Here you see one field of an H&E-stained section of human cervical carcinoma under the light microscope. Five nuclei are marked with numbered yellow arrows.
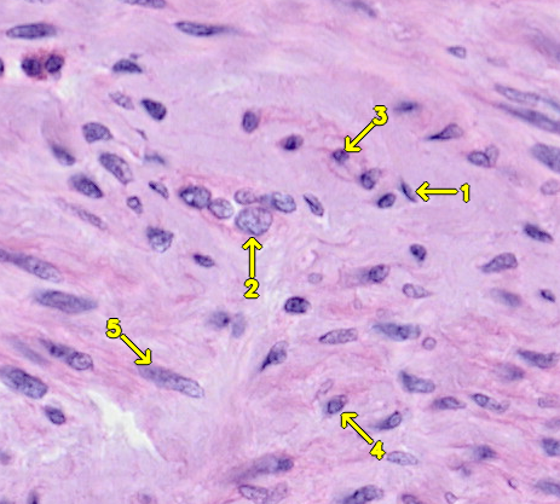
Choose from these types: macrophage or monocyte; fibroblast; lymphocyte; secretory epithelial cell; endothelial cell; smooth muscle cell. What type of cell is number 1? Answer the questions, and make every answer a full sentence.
Regarding cell 1, this one is a fibroblast.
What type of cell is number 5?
The one labeled 5 is a smooth muscle cell, to put it simply.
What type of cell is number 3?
Looking at the numbered marks, cell 3 is a smooth muscle cell.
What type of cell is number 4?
The cell bearing label 4 corresponds to a smooth muscle cell.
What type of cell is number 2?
The cell marked with number 2 is an endothelial cell.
